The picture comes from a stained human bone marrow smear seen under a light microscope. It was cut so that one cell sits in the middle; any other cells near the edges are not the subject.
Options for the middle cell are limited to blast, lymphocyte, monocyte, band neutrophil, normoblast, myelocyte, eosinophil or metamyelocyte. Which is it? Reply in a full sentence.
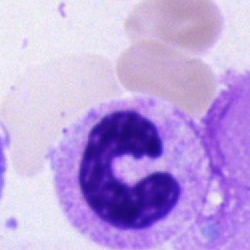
Within this crop, a band neutrophil occupies the central position.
